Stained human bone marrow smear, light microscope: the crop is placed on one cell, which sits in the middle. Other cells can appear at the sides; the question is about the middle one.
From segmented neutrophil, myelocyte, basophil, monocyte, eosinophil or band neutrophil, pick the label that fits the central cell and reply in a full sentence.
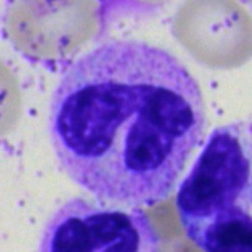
The target cell in the middle of the crop is a segmented neutrophil.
